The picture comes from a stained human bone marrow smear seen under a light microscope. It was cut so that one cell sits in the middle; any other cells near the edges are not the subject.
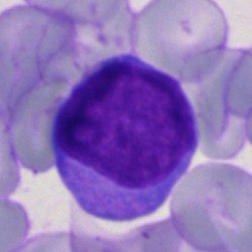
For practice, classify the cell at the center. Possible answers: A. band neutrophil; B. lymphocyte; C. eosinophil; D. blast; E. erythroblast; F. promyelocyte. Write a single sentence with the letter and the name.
Option D is correct, naming the cell in the middle as a blast.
